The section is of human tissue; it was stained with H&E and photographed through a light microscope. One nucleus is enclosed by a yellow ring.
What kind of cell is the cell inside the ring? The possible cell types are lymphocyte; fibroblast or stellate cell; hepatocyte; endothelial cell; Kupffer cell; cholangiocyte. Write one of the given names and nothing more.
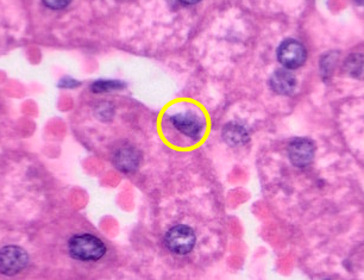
endothelial cell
